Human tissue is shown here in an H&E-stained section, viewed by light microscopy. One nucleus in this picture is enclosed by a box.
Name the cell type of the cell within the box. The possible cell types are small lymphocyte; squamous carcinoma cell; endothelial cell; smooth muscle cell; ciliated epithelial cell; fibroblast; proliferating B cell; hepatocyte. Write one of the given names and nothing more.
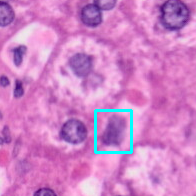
endothelial cell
